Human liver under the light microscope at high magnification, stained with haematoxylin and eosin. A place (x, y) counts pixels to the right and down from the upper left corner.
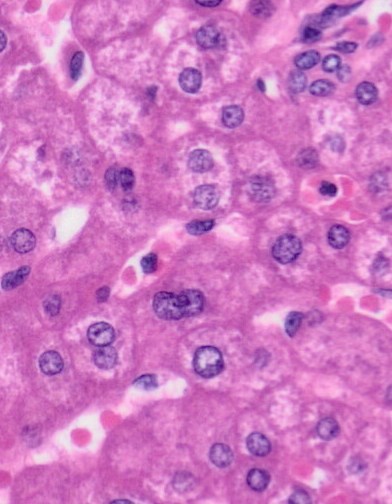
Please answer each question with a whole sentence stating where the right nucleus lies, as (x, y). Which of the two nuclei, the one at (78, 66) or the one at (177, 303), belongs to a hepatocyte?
The nucleus whose position is (177, 303) belongs to a hepatocyte.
